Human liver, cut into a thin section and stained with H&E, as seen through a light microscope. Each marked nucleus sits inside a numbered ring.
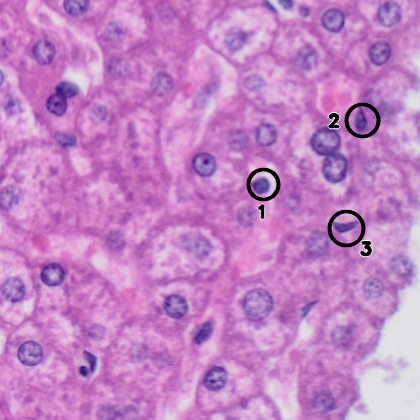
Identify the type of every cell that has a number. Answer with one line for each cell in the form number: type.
1: lymphocyte
2: fibroblast or stellate cell
3: endothelial cell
